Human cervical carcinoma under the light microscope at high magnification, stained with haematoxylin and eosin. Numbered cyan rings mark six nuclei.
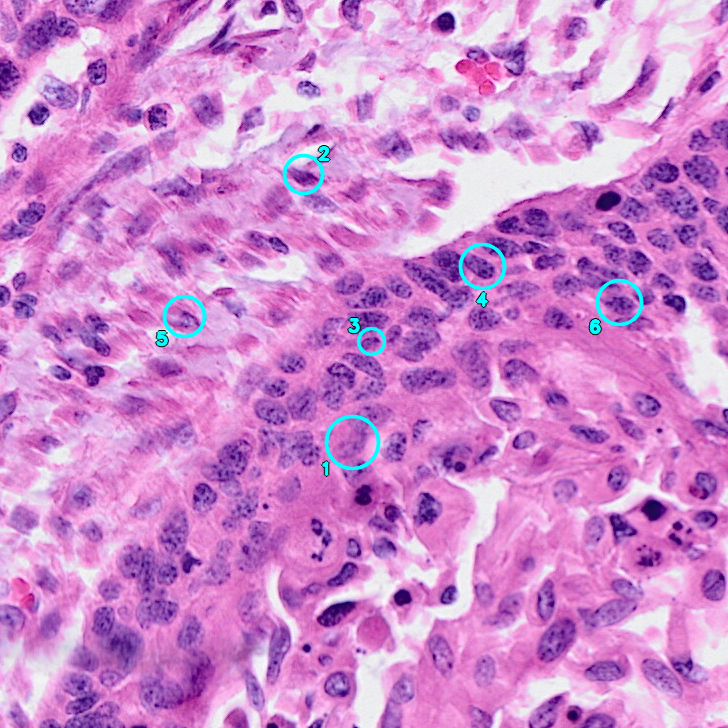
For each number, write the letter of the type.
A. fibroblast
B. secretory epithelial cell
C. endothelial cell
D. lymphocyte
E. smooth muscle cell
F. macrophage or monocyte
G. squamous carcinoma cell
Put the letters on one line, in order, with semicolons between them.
G; A; G; G; A; G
